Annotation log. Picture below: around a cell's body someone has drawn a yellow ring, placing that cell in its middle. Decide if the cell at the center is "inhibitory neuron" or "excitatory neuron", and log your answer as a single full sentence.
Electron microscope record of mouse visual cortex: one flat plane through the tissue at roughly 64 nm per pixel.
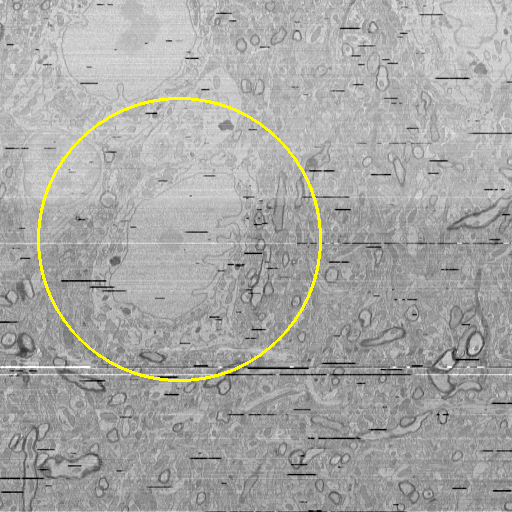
My entry records an inhibitory neuron as the cell sitting at the center of the yellow ring.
